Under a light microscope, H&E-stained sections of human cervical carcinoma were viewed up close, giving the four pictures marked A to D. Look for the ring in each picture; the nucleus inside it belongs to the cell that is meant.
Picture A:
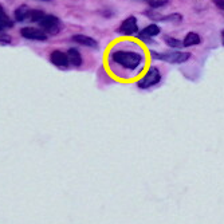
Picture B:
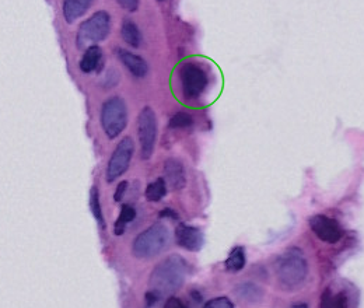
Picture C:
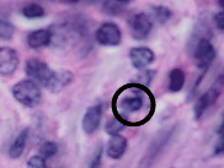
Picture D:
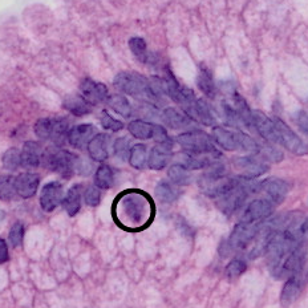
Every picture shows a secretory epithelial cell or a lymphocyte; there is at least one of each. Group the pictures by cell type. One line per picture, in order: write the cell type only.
lymphocyte
secretory epithelial cell
lymphocyte
secretory epithelial cell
